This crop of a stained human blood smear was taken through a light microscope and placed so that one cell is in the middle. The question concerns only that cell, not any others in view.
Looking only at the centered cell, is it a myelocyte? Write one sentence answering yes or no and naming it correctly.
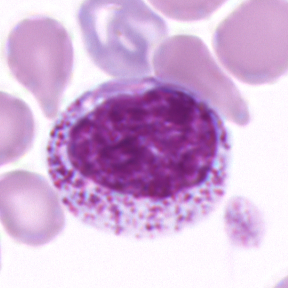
No, the central cell does not represent a myelocyte, but a metamyelocyte.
